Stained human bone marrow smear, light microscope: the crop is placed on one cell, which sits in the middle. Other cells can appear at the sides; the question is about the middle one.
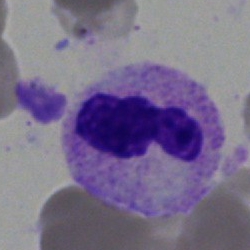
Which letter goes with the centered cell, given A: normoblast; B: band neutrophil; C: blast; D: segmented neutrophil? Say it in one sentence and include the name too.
Option D is right, the centrally situated cell being a segmented neutrophil.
